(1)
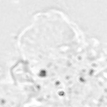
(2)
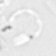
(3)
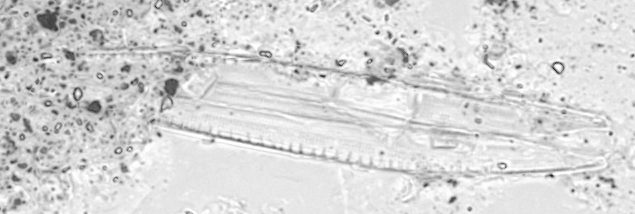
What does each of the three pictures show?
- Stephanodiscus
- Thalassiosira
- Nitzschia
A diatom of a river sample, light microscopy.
Picture 1: Stephanodiscus
Picture 2: Thalassiosira
Picture 3: Nitzschia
